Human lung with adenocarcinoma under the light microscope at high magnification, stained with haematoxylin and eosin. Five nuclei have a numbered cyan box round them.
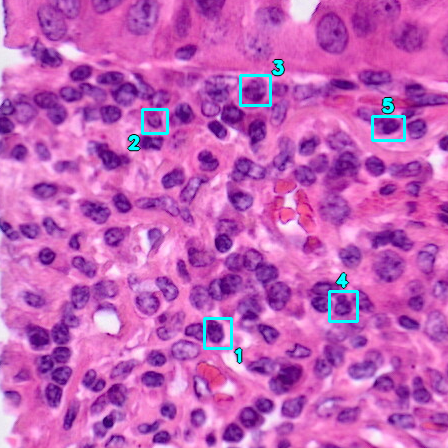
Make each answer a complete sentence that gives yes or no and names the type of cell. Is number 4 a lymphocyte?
Yes. The cell carrying number 4 is a lymphocyte.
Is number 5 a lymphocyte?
Yes, it is a lymphocyte that number 5 identifies.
